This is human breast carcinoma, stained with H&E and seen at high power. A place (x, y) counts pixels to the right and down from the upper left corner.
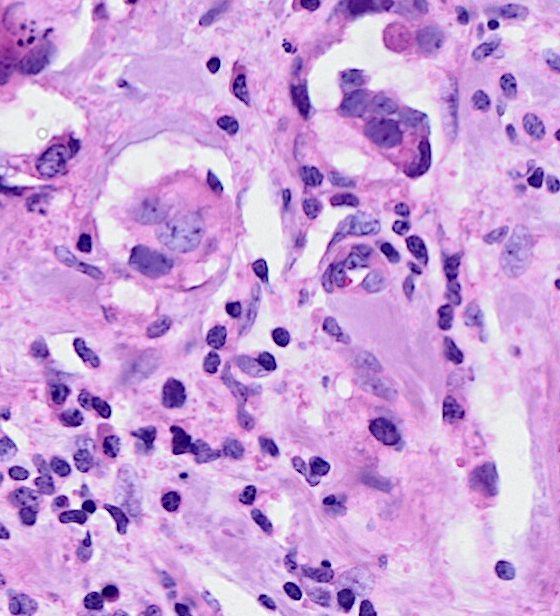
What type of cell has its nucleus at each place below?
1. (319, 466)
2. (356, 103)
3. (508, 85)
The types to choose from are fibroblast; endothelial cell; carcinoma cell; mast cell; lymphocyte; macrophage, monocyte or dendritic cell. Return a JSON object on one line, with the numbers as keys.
{"1": "lymphocyte", "2": "carcinoma cell", "3": "mast cell"}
